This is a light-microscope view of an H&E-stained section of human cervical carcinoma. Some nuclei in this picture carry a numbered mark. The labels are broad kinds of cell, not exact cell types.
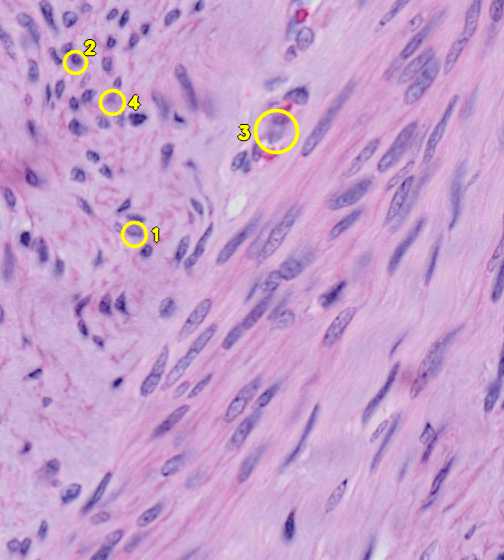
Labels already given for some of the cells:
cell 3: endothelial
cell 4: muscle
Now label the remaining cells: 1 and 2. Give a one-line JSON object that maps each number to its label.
{"1": "muscle", "2": "muscle"}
